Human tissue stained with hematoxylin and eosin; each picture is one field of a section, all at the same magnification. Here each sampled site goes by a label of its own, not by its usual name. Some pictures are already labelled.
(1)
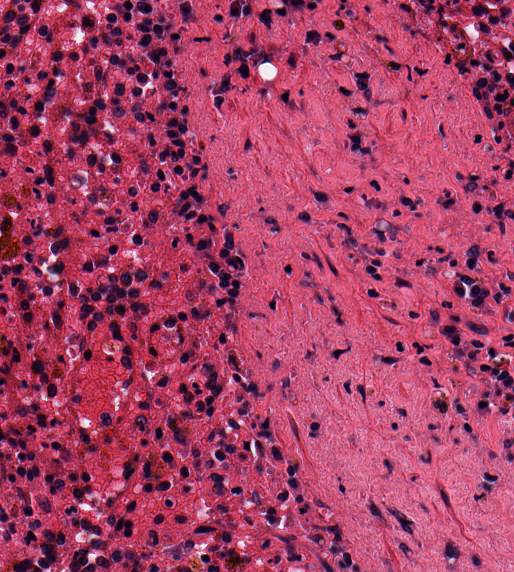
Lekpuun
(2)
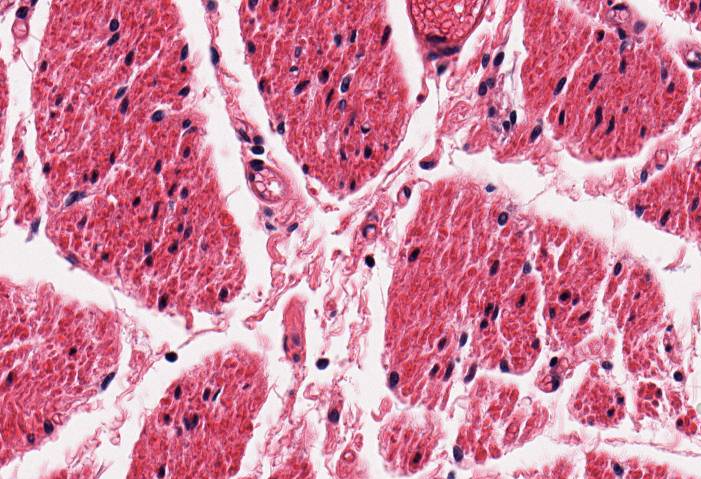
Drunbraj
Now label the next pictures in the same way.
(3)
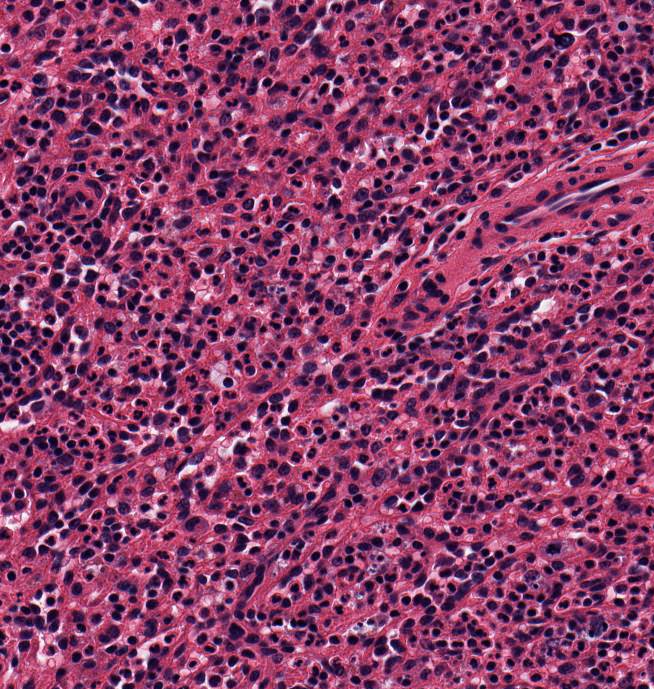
Lekpuun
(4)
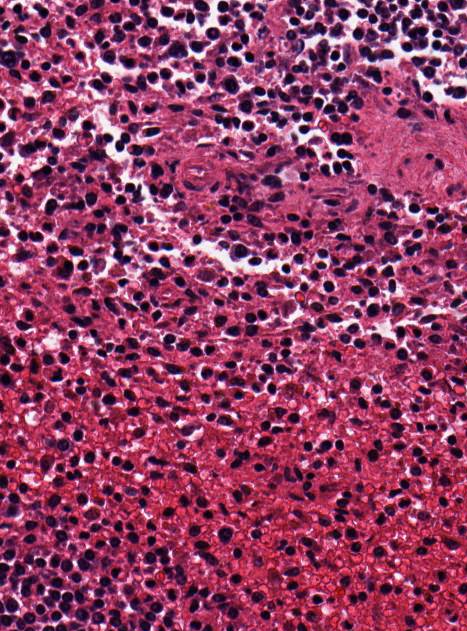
Lekpuun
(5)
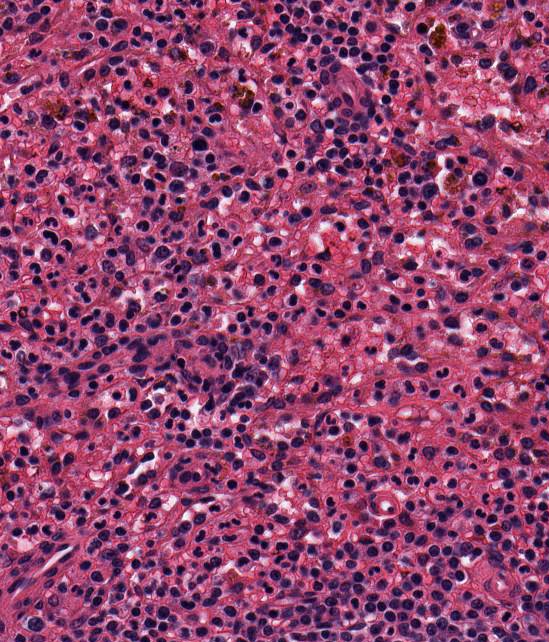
Lekpuun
